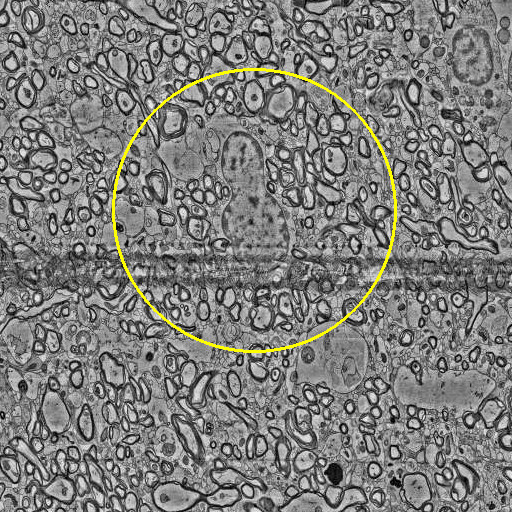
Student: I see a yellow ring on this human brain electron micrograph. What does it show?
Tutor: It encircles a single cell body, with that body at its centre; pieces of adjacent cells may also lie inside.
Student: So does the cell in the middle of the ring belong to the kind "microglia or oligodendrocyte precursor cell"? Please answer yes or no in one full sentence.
Yes, the cell in the middle of that yellow ring belongs to this kind.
